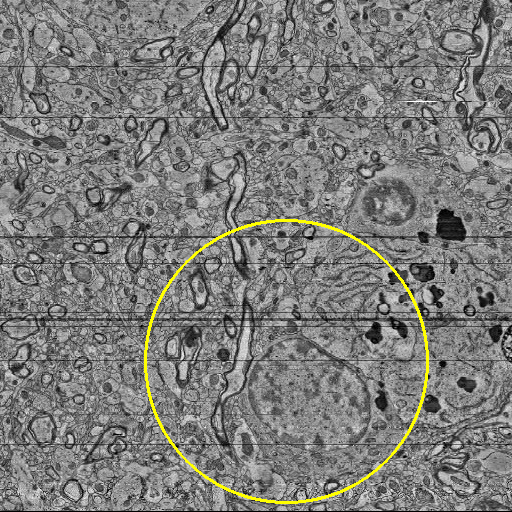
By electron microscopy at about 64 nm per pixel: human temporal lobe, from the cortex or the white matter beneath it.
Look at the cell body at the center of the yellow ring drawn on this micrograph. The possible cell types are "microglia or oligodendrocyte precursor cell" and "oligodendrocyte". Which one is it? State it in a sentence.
The cell in the middle of the ring is an oligodendrocyte.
